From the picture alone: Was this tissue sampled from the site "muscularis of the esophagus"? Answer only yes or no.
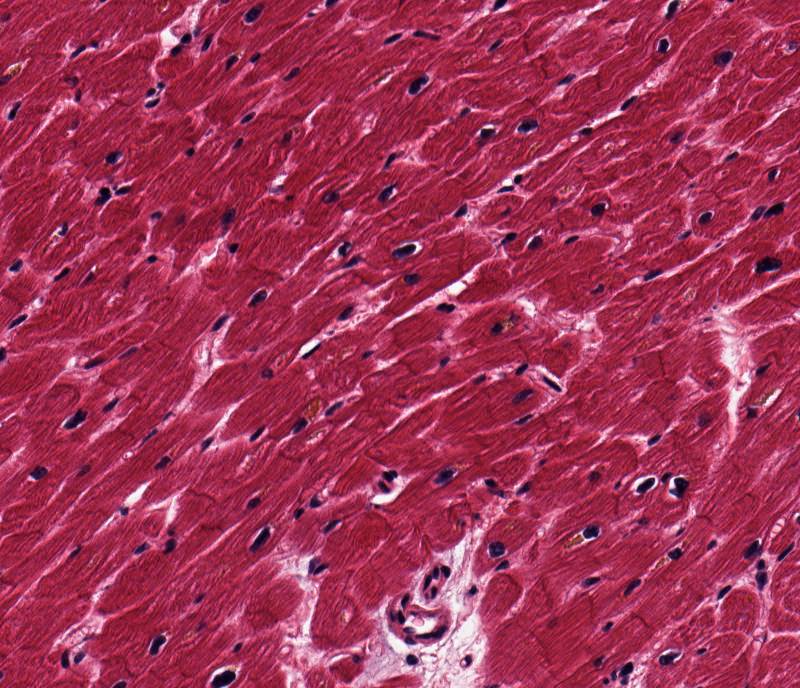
no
